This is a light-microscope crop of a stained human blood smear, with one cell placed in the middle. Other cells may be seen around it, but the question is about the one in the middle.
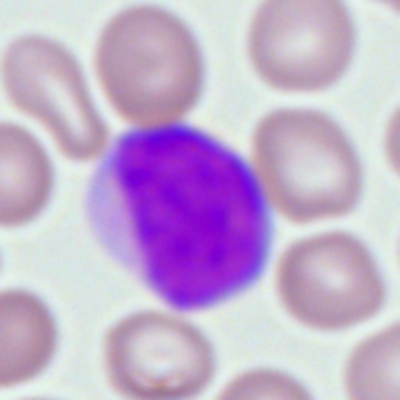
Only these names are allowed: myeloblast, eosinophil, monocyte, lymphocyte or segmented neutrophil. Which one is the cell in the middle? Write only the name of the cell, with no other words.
myeloblast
